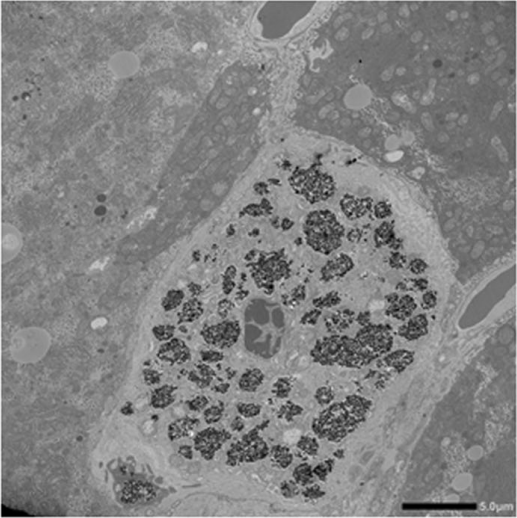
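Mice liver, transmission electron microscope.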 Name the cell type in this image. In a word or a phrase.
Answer: Phagocyte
